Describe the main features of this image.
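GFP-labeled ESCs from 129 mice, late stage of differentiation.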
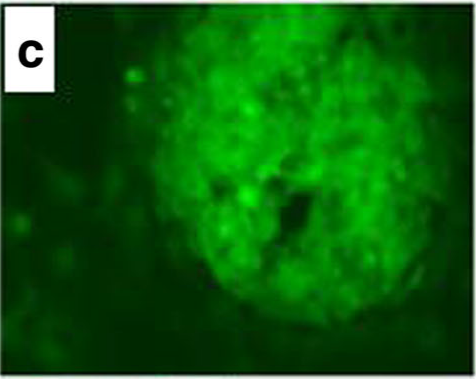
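This is a single large, rounded colony of densely packed green-fluorescent cells, filling most of the field against a dim background. The colony is not uniformly bright: its surface has a mottled, granular texture made of many small brighter spots and faint outlines that suggest tightly packed, roughly polygonal cells rather than a smooth mass. A small dark gap lies near the middle of the colony. Toward the left edge a few scattered small bright dots and a faint haze of fluorescence lie outside the main colony. The image is soft, so individual cell borders are only hinted at.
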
